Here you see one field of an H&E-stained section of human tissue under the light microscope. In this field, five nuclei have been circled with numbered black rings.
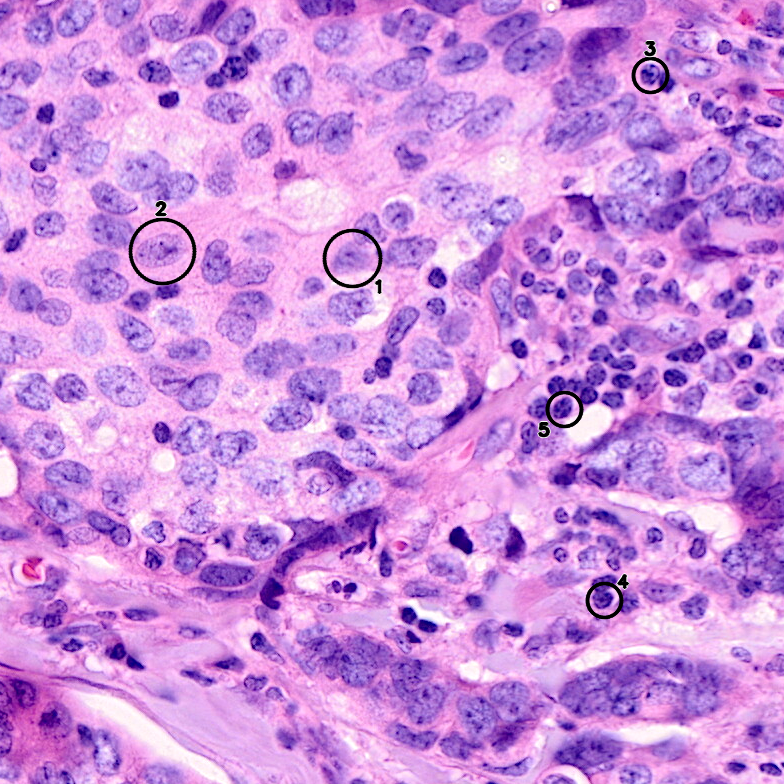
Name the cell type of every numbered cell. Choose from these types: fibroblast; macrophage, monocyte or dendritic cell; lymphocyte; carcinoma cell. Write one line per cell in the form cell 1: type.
cell 1: carcinoma cell
cell 2: carcinoma cell
cell 3: lymphocyte
cell 4: lymphocyte
cell 5: lymphocyte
